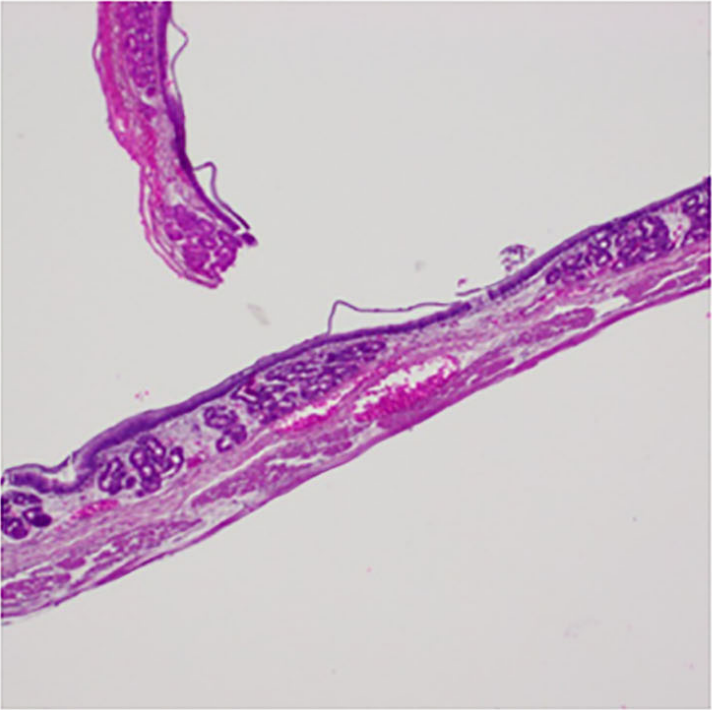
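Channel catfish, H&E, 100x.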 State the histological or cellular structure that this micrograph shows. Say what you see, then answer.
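Clusters of rounded, deeply purple glandular profiles lie in the wall beneath the surface lining. The glands sit between a thin surface epithelium and paler, pink outer layers. On this evidence: gastric glands.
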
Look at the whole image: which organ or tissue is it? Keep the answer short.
stomach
